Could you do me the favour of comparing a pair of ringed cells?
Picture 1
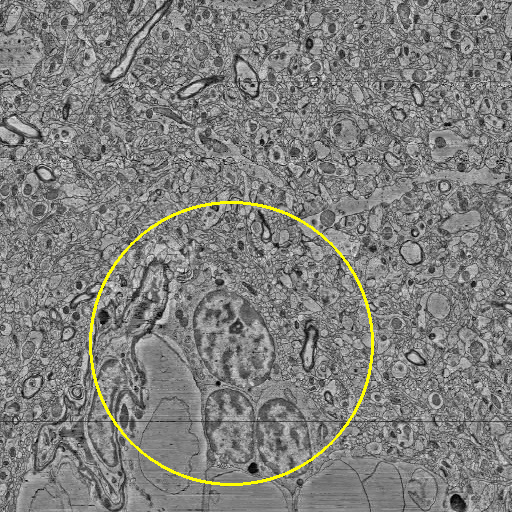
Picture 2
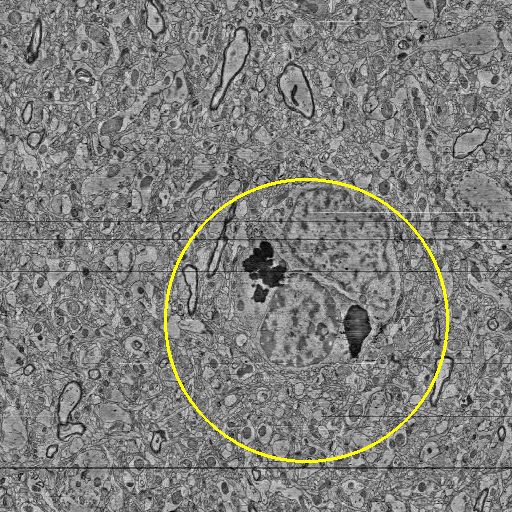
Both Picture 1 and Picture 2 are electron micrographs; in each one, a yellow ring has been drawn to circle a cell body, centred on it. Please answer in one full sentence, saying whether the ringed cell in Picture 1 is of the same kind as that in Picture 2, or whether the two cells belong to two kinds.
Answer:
The ringed cell in Picture 1 is of the same kind as that in Picture 2.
